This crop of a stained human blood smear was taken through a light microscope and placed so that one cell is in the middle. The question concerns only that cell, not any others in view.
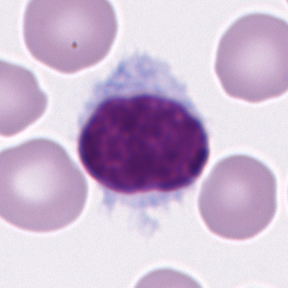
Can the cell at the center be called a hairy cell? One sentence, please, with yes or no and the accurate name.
Yes, the cell at the midpoint of the crop is a hairy cell.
